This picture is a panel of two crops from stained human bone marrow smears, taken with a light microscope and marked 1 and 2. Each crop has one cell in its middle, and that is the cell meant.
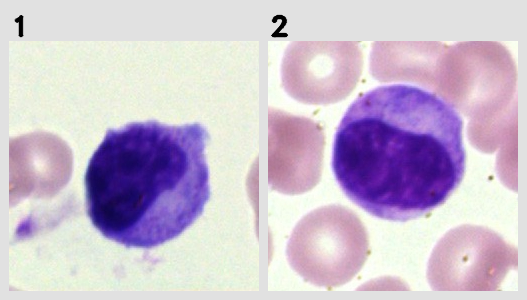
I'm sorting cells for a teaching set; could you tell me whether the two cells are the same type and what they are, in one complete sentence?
Yes, in the middle of both crops, metamyelocytes are shown.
